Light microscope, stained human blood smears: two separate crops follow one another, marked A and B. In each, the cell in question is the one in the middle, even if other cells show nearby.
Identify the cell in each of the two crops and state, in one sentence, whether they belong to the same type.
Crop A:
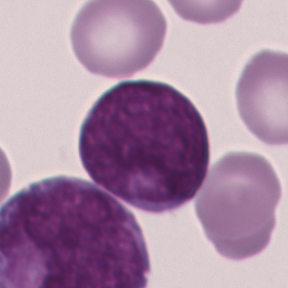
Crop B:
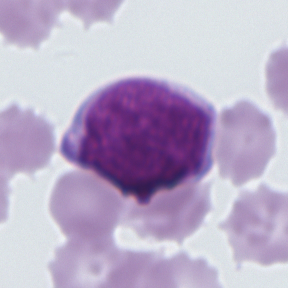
Yes, the central cells, in both crops, are blasts.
